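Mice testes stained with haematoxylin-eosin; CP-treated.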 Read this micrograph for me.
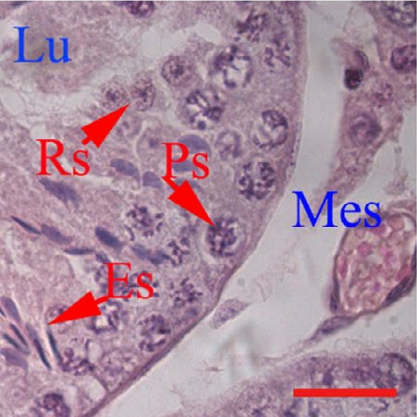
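Seminiferous tubule epithelium of the testis bordered by mesenchyme, with pachytene spermatocytes, round spermatids and elongated spermatids. Pachytene spermatocytes near the tubule wall have large round nuclei with clumped, thread-like purple chromatin. Round spermatids have smaller round nuclei in pale pink cytoplasm, and elongated spermatids with slender dark purple heads lie in bundles toward the lumen. Outside the tubule wall lies loose mesenchyme with a small vessel containing pink cells.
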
